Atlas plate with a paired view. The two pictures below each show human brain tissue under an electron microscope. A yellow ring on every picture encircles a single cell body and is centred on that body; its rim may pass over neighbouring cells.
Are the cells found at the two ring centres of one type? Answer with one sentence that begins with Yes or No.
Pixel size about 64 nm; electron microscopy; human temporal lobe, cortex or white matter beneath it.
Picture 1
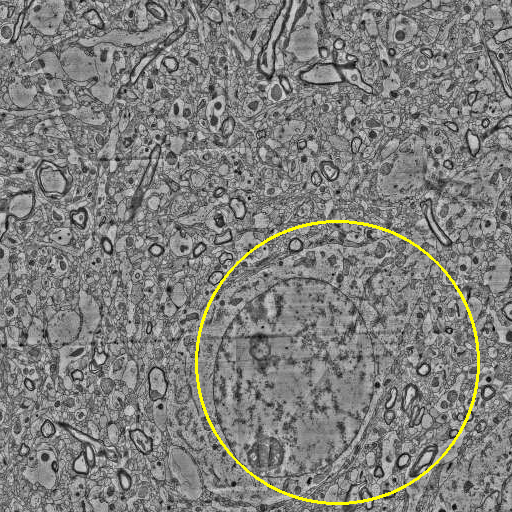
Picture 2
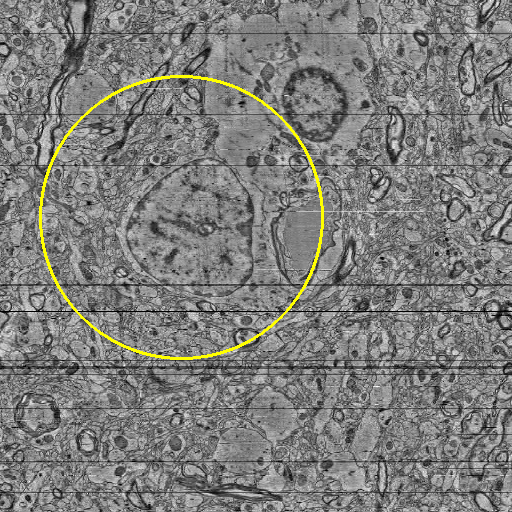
No, the two cells lying at the centres of the rings are of two types.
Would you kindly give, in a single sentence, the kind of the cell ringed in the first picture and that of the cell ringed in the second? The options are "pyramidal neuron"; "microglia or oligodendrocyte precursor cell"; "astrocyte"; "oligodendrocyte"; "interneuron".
The second cell is a microglial cell or oligodendrocyte precursor cell, and the first cell is a pyramidal neuron.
